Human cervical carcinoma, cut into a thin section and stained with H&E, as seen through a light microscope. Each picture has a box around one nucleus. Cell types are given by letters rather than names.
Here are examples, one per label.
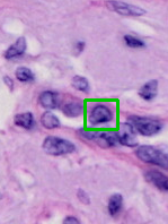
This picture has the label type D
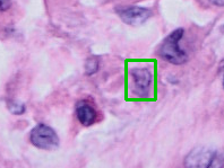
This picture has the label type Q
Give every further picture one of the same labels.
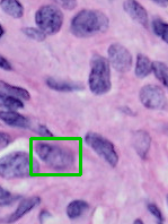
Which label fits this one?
type D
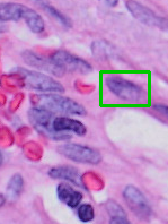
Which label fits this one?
type D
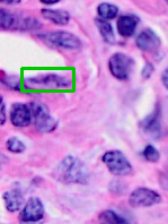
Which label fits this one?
type D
